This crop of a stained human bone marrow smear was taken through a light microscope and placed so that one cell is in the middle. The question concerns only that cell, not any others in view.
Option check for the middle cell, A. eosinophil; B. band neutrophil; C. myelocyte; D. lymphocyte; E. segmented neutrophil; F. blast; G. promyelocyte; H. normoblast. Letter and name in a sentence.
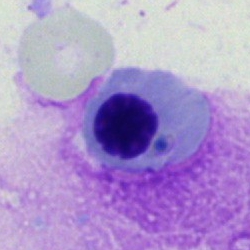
Option H correctly states that the central cell is a normoblast.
